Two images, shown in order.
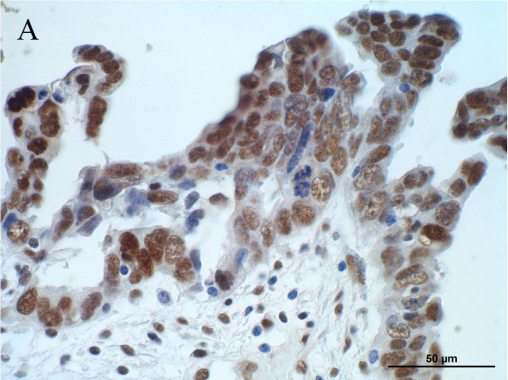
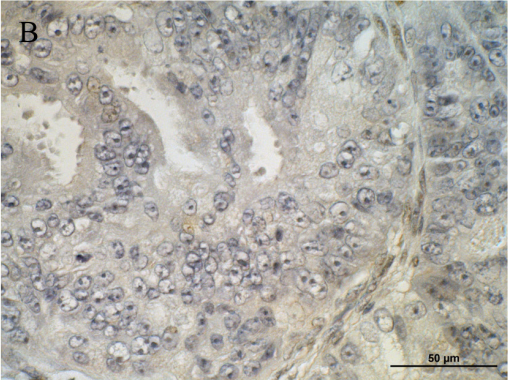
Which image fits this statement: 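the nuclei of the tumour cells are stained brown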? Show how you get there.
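The first image. Second image: tumour cell nuclei are pale blue-grey with no brown colour. First image: most tumour cell nuclei are deep brown.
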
